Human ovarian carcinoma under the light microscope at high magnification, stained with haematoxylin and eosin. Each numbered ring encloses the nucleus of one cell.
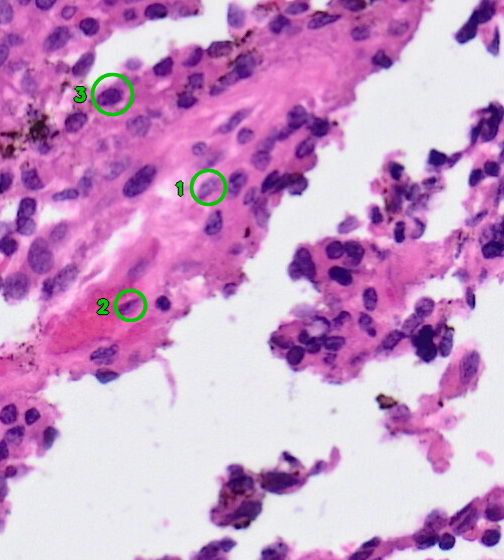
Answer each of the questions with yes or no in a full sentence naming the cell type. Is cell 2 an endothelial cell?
Yes, in this section the cell numbered 2 is an endothelial cell.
